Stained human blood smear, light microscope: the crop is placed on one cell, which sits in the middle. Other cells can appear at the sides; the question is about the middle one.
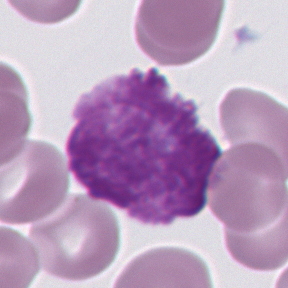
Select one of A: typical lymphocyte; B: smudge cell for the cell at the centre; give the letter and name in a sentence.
Option B is accurate; the centrally placed cell is a smudge cell.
